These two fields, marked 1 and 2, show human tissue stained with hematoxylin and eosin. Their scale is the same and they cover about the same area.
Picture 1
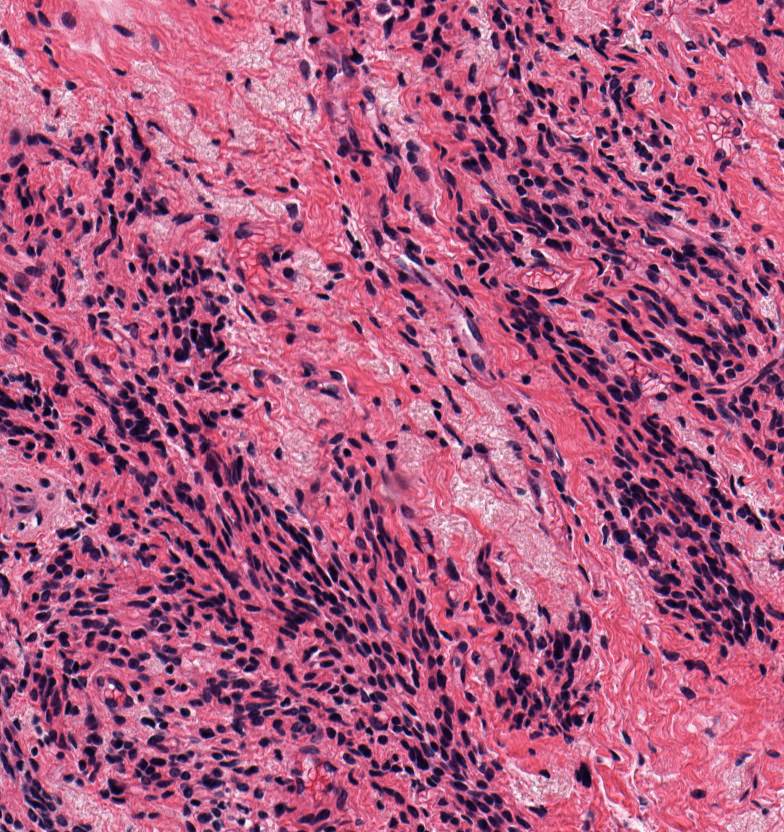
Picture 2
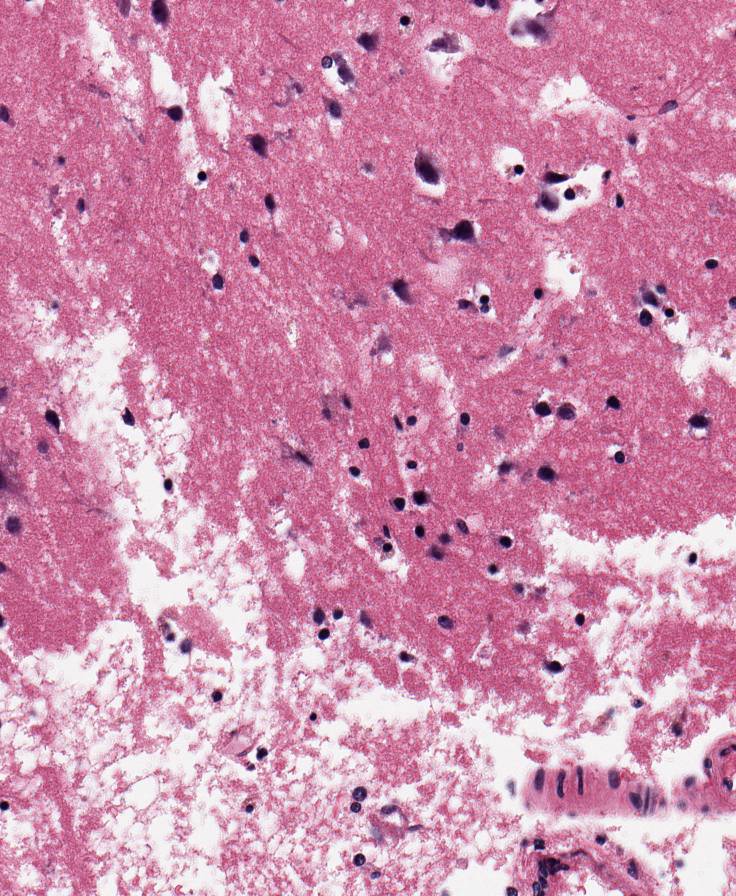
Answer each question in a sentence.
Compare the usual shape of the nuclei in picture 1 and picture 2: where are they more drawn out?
On the whole the nuclei of picture 1 are more drawn out than those of picture 2.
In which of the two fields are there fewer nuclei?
The smaller number of nuclei is in picture 2.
